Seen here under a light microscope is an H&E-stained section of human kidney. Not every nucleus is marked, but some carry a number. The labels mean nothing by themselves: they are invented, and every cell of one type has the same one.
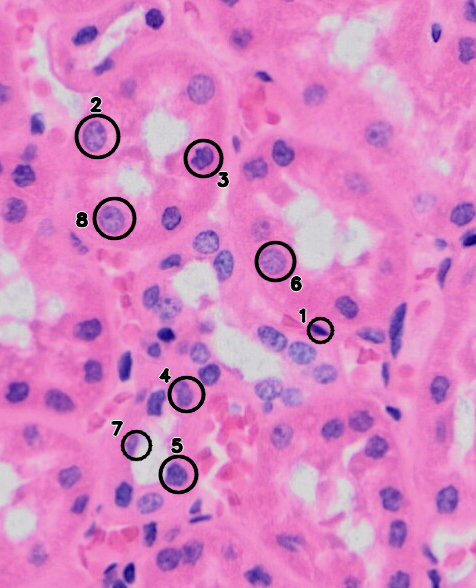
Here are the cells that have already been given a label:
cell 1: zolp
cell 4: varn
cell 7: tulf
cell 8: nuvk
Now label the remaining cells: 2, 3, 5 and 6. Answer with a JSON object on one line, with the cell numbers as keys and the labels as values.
{"2": "nuvk", "3": "nuvk", "5": "tulf", "6": "nuvk"}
